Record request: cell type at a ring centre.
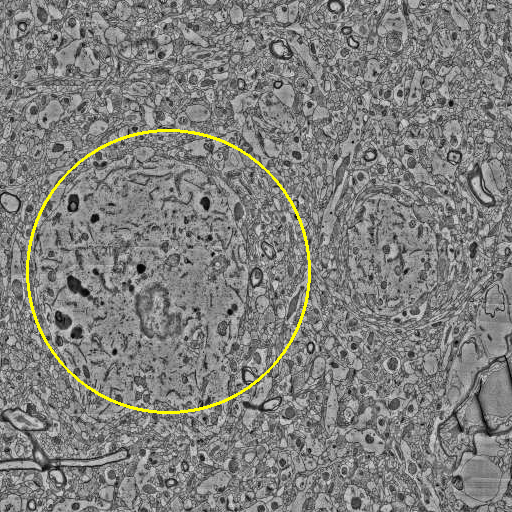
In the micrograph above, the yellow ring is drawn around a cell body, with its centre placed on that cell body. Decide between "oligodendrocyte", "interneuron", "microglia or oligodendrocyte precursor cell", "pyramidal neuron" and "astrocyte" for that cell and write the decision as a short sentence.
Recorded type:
The cell centred in the yellow ring is a pyramidal neuron.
